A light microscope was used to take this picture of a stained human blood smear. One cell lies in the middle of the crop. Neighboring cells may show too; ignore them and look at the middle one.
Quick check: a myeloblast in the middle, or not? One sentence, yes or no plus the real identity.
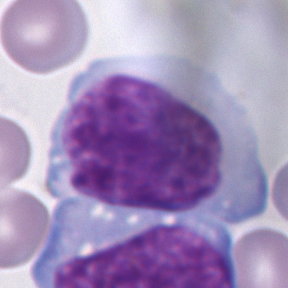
Yes, in the middle of the crop is a myeloblast.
